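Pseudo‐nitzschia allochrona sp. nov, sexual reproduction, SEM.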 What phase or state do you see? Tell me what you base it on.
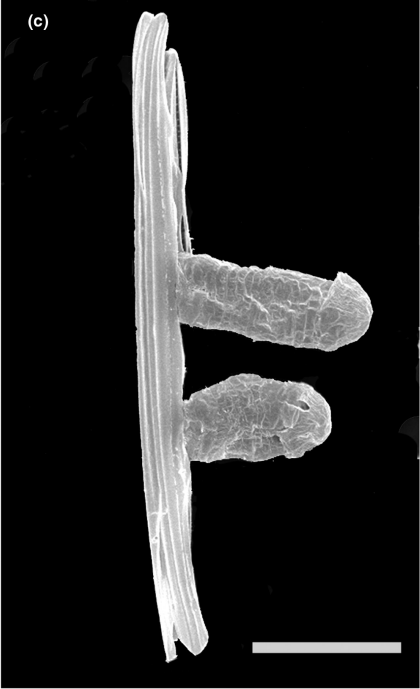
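Two short sausage-shaped bodies project sideways from a long narrow valve. Their surfaces are wrinkled with rounded tips.
Hence: Early auxospores.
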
